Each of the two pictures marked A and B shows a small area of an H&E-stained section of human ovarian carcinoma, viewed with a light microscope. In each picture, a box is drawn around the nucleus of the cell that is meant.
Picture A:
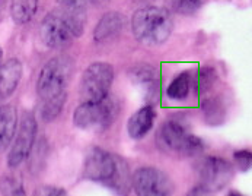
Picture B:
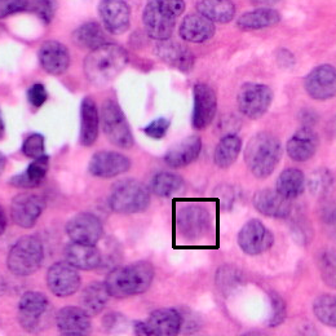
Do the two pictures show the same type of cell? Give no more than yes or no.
yes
